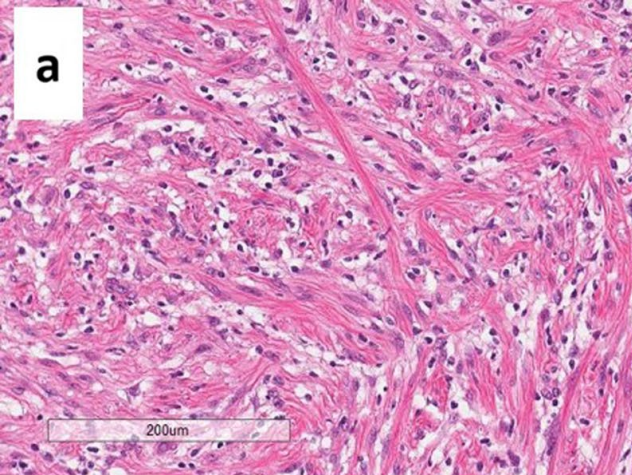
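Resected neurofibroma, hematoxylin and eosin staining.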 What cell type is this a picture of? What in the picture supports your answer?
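Fibroblast-like spindle cells. Cells lie loosely among pink fibrillary stroma.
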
